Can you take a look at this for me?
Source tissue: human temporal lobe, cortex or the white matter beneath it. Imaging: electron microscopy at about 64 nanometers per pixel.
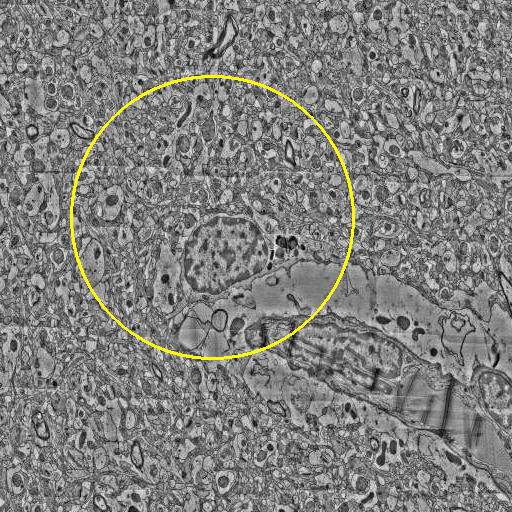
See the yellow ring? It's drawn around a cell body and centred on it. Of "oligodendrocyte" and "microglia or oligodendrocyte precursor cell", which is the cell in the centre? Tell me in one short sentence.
The one in the centre is a microglial cell or oligodendrocyte precursor cell.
